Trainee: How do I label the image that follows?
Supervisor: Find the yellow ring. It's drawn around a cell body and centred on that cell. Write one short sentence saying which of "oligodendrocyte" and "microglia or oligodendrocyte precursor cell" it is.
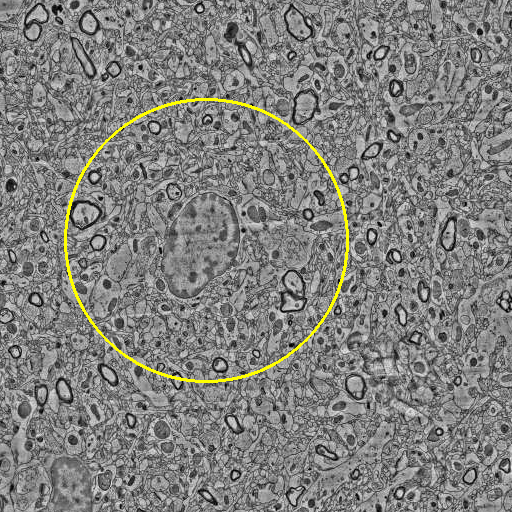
This is the cell body of a microglial cell or oligodendrocyte precursor cell.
